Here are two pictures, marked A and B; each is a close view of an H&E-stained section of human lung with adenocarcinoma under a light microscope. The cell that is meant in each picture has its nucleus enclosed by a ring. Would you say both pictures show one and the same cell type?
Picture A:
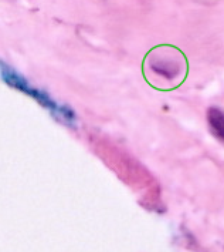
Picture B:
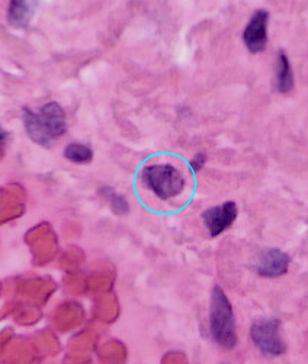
yes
